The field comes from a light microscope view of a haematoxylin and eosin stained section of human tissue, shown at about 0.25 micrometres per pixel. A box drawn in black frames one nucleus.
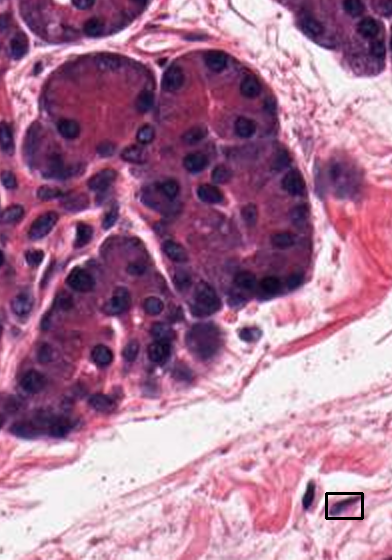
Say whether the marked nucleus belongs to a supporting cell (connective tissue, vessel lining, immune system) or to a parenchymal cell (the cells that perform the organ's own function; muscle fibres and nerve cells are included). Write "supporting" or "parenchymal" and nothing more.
supporting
